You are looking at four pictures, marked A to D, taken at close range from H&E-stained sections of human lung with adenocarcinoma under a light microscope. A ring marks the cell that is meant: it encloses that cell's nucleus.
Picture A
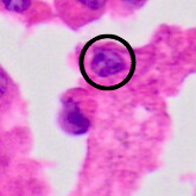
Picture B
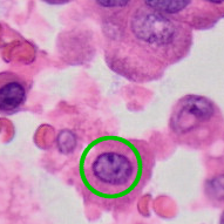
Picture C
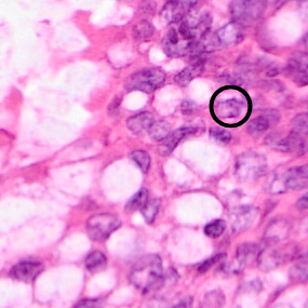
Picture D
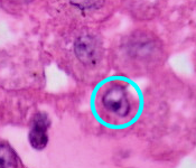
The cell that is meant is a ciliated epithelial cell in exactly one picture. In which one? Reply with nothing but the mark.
C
